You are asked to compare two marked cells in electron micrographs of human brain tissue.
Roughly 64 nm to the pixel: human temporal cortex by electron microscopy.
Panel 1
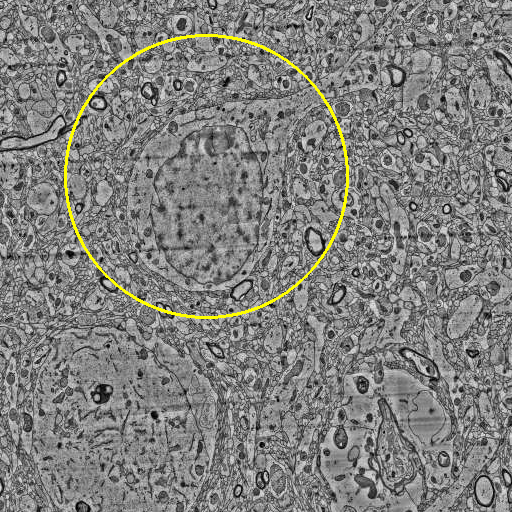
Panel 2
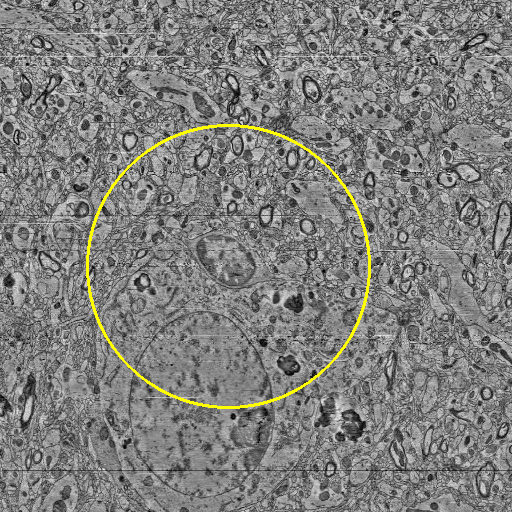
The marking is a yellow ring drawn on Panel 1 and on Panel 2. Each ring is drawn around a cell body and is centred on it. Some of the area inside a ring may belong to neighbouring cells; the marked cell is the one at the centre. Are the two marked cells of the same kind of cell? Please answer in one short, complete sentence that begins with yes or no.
No, the two marked cells are of two kinds.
